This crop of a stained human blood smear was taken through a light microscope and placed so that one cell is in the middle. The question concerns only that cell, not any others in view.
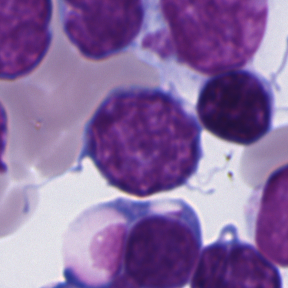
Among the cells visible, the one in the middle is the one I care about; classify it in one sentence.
Seen at the centre of the crop is a myeloblast.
